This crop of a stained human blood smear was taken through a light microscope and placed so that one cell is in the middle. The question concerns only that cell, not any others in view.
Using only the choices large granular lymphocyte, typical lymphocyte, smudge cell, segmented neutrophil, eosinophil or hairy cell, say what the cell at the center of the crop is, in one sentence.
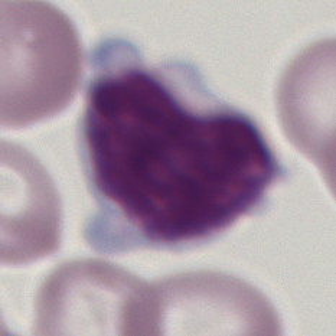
Classified as a typical lymphocyte is the cell in the middle of this crop.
